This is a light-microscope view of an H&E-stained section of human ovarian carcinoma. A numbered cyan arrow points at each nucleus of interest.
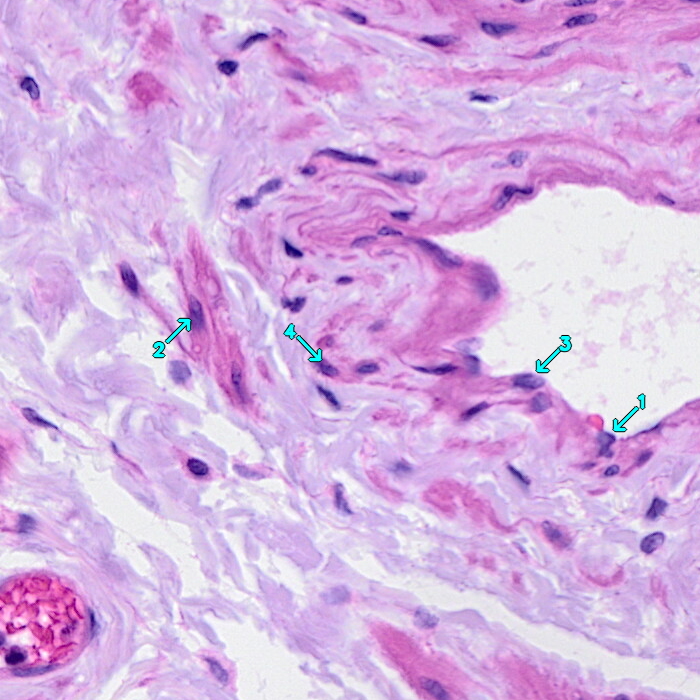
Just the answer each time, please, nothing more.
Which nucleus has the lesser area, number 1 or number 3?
1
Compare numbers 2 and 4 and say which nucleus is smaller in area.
4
